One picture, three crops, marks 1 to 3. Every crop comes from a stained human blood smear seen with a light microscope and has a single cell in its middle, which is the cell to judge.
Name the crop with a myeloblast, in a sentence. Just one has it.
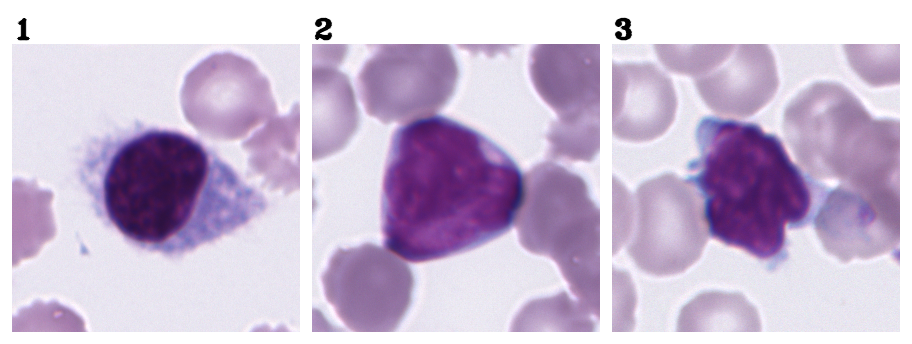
The correct choice is crop 2, the one showing a myeloblast.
